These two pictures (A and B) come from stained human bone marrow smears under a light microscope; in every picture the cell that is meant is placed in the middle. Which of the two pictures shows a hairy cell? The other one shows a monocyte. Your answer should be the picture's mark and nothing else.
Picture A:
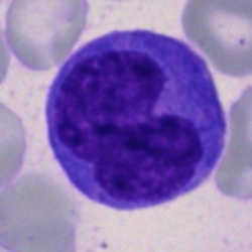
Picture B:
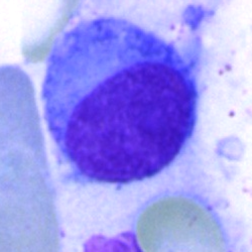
B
